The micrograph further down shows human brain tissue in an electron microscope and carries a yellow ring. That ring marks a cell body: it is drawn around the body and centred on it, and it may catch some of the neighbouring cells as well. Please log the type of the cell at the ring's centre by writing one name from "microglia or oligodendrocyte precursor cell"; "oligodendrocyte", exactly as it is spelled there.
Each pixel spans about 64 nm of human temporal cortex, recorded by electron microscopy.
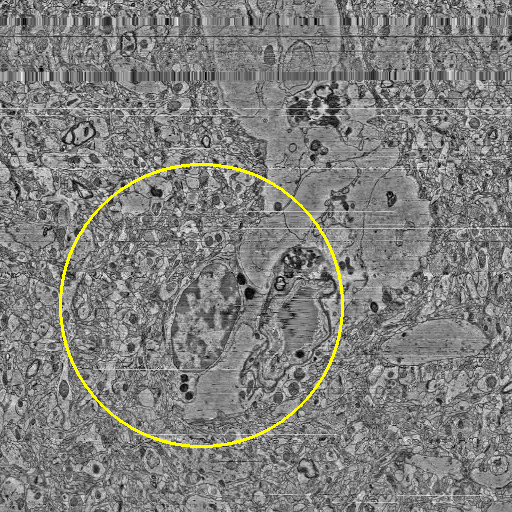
microglia or oligodendrocyte precursor cell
